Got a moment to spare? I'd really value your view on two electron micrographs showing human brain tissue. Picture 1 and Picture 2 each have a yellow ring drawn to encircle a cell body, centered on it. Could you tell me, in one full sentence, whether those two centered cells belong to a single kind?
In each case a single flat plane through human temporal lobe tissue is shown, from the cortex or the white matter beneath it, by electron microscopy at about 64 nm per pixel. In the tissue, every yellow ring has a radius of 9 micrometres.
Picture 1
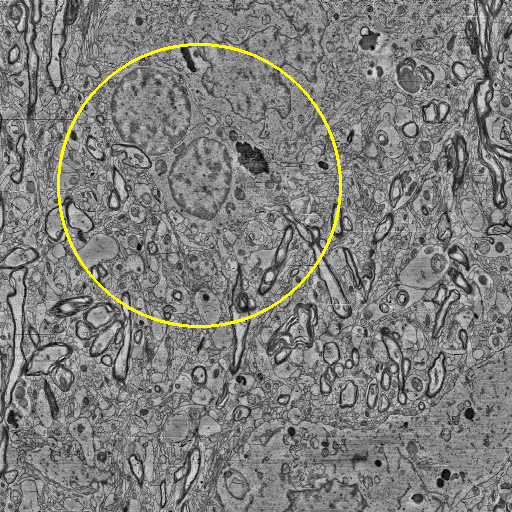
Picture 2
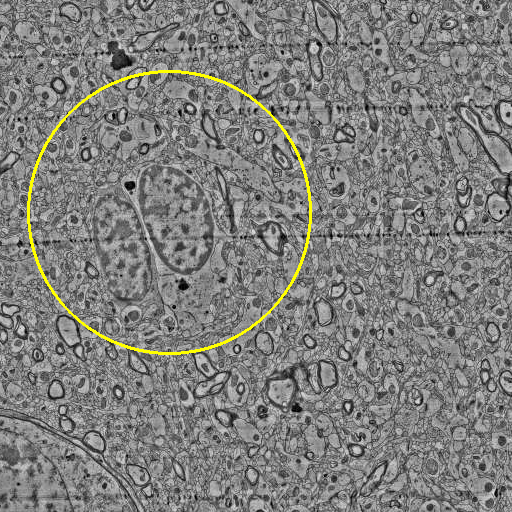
No, the two centered cells in Picture 1 and Picture 2 are of two kinds.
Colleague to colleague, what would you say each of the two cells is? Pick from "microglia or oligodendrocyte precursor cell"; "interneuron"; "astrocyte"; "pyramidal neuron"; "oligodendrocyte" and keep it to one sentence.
The cell in the first picture is an oligodendrocyte; the second picture's cell is a microglial cell or oligodendrocyte precursor cell.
